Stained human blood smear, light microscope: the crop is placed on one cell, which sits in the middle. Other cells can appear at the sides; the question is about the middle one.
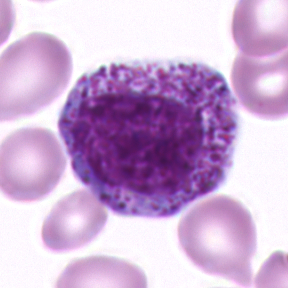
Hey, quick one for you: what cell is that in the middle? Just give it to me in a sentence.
The centrally positioned cell in the crop represents a promyelocyte.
